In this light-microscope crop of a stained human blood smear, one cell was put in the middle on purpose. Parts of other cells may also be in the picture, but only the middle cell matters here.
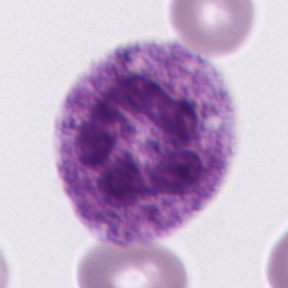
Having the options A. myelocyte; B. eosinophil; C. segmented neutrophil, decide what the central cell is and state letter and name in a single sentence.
The cell in the middle is an eosinophil, so option B is correct.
